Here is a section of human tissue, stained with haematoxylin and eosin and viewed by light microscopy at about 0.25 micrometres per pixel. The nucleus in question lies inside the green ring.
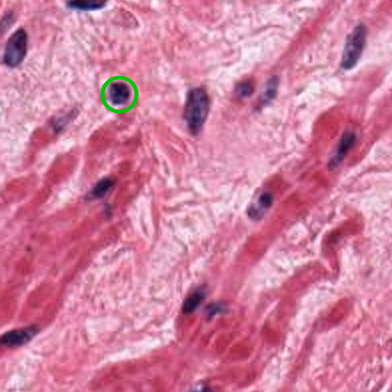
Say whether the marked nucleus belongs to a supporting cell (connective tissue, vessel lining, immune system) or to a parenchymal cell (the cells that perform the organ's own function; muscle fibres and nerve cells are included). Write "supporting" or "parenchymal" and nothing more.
supporting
